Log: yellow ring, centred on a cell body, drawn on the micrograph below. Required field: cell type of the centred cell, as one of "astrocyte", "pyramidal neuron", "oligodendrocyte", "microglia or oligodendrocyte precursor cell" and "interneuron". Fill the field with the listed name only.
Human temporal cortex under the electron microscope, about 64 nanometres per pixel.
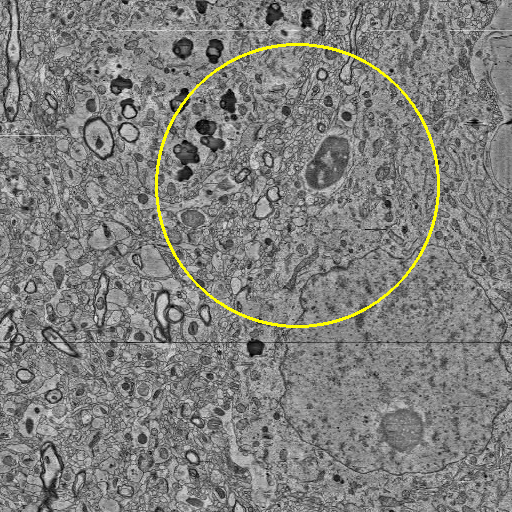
microglia or oligodendrocyte precursor cell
